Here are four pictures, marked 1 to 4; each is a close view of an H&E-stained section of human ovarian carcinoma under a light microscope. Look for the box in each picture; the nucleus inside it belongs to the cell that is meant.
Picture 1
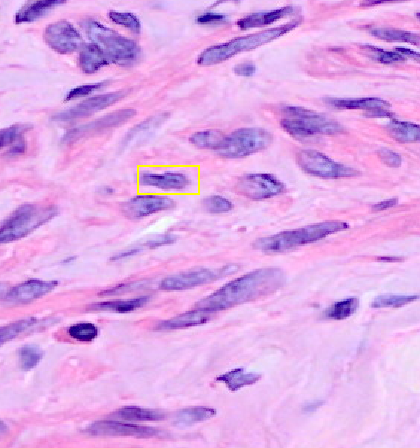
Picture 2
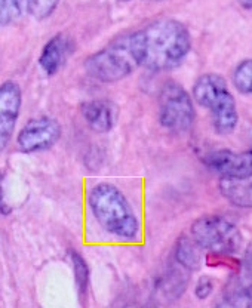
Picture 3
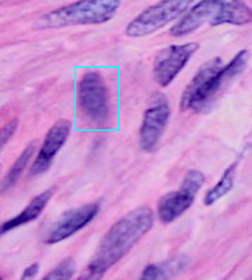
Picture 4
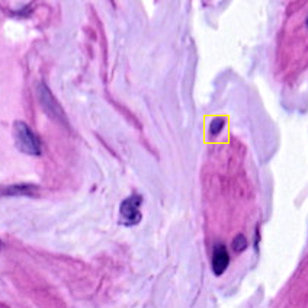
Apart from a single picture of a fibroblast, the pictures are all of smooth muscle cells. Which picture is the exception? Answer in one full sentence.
It is picture 2 that shows the fibroblast.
